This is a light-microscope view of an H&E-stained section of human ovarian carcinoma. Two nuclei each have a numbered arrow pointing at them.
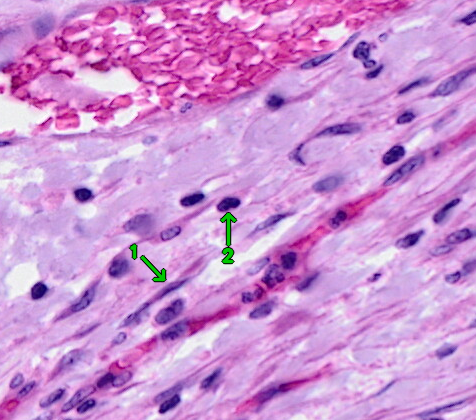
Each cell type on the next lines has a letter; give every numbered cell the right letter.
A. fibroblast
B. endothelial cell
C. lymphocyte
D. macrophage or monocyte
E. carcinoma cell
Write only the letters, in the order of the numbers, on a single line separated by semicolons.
A; C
